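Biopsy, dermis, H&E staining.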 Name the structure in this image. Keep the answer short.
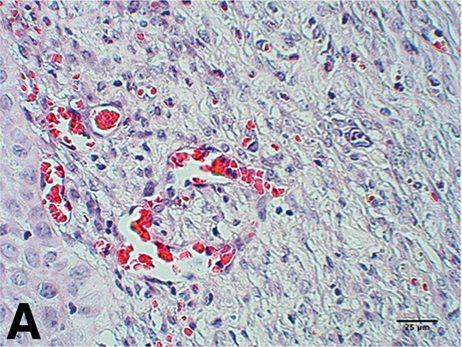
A: blood vessels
